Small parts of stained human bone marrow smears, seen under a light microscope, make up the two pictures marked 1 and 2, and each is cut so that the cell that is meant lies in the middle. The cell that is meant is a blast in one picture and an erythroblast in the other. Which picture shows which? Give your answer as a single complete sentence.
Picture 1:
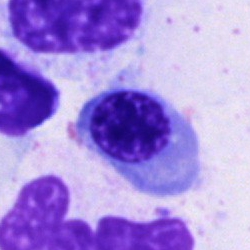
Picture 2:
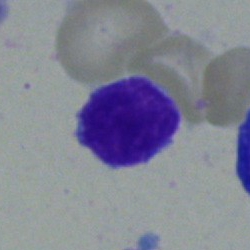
Picture 1 is of an erythroblast, and picture 2 is of a blast.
